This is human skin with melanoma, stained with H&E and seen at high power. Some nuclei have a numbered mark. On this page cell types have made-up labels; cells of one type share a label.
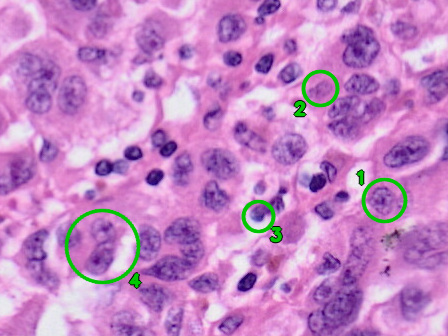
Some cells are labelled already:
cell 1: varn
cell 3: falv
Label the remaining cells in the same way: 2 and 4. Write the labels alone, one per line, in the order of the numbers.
varn
varn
